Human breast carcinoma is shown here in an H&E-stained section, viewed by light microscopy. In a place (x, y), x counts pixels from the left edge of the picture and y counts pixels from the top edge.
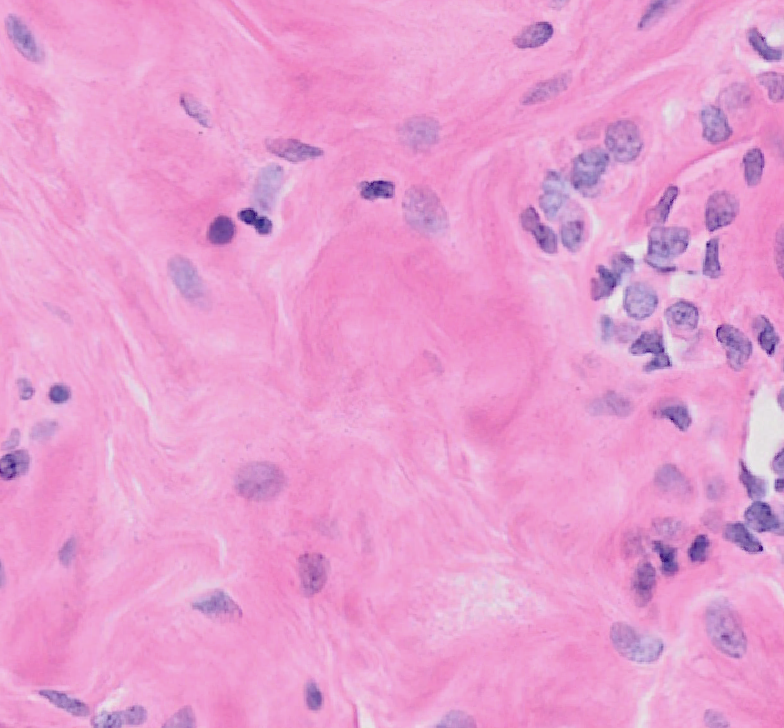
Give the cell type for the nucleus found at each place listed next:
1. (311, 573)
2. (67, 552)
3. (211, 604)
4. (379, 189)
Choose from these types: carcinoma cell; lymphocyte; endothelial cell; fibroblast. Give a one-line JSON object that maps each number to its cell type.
{"1": "fibroblast", "2": "fibroblast", "3": "fibroblast", "4": "lymphocyte"}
